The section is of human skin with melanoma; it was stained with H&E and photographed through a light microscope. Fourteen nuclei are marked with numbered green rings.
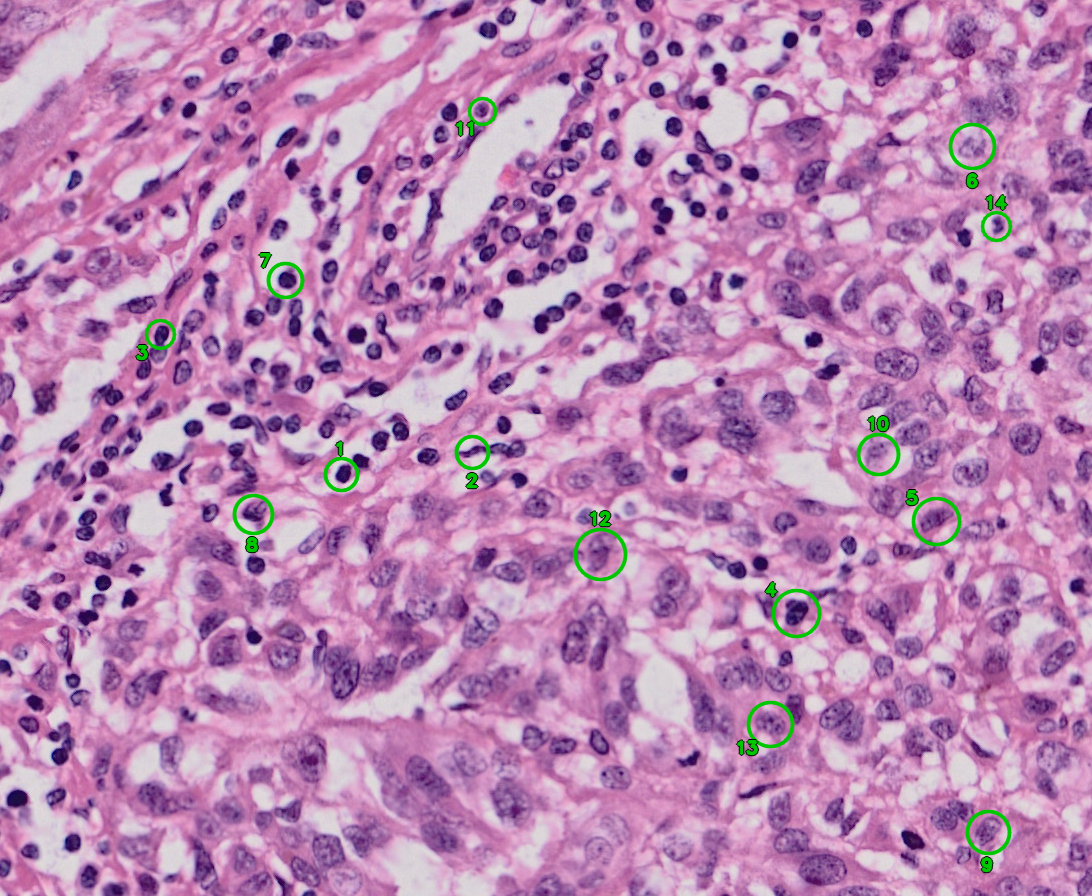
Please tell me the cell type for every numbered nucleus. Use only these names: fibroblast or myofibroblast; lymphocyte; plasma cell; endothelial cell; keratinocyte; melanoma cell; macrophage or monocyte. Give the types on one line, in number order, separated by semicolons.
lymphocyte; fibroblast or myofibroblast; lymphocyte; plasma cell; melanoma cell; melanoma cell; lymphocyte; macrophage or monocyte; melanoma cell; melanoma cell; lymphocyte; melanoma cell; melanoma cell; lymphocyte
